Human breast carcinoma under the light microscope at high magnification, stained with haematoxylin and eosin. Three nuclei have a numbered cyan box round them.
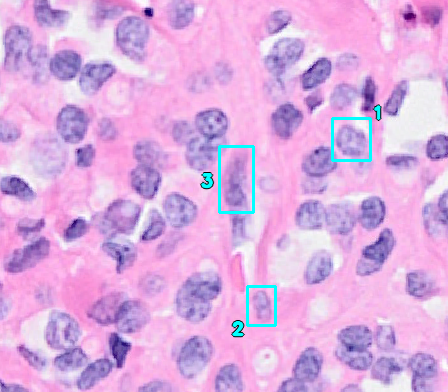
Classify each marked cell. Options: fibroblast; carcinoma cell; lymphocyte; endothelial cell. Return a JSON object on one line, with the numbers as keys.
{"1": "carcinoma cell", "2": "endothelial cell", "3": "endothelial cell"}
